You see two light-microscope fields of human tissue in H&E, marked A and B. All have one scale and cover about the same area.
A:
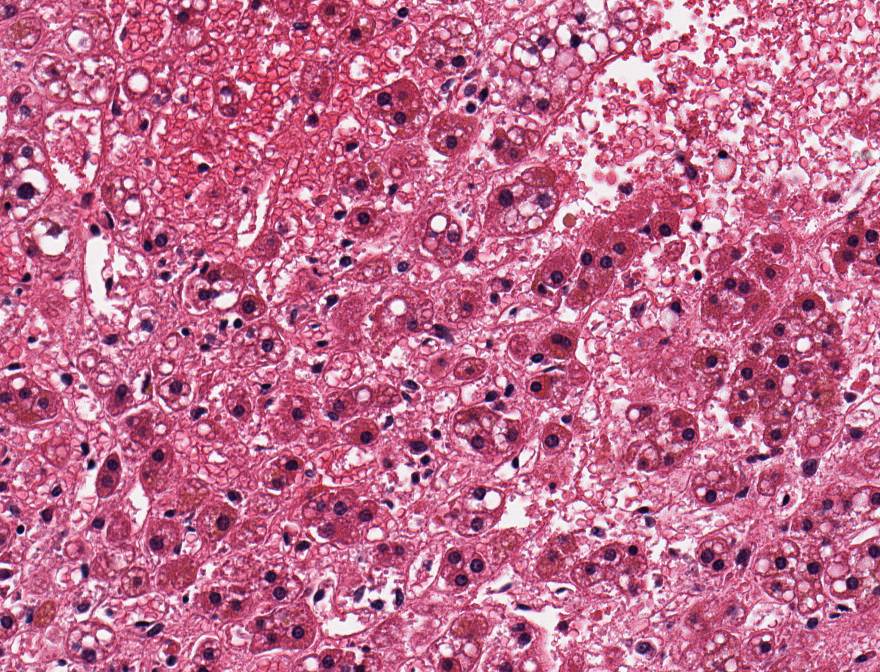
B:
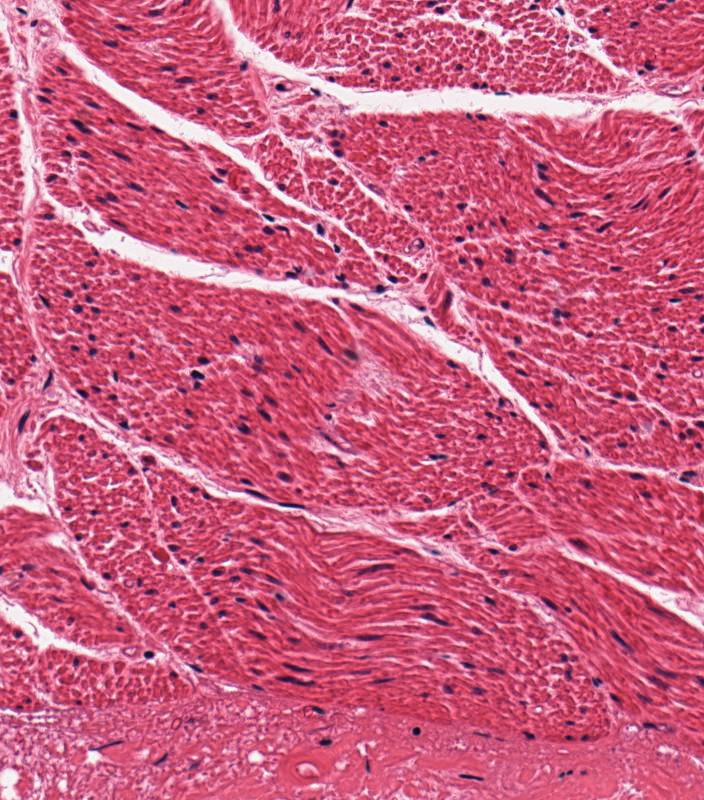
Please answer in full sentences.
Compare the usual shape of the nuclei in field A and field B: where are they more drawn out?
Longer, more slender nuclei lie in field B.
